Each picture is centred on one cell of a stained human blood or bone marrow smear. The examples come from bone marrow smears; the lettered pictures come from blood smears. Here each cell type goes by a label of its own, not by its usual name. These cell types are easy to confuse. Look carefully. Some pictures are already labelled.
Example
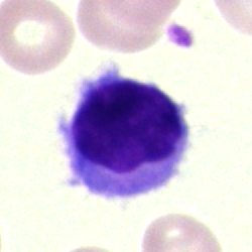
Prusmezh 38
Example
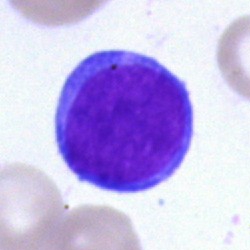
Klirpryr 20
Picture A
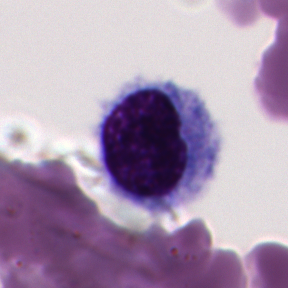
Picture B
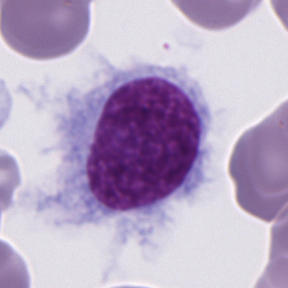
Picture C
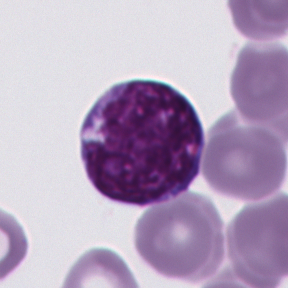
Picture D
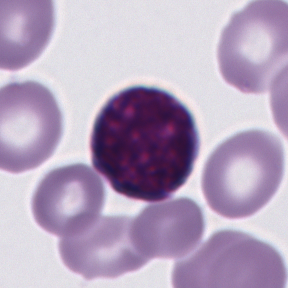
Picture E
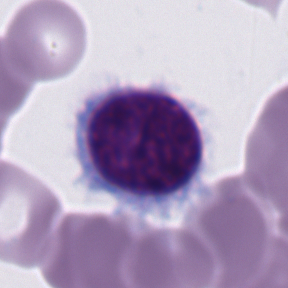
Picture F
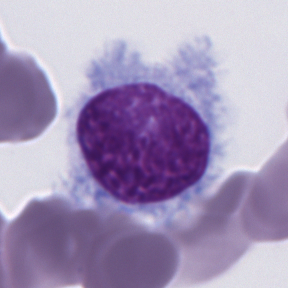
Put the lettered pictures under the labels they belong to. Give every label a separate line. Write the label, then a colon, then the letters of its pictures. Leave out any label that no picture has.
Prusmezh 38: A, B, E, F
Klirpryr 20: C, D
